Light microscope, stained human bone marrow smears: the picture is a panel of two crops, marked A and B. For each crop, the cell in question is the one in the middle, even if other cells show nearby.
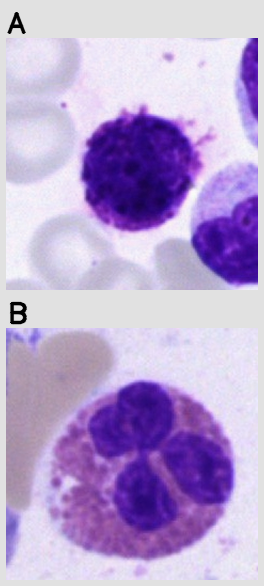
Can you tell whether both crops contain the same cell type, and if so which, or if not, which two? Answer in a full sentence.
No, cell A is a basophil, and cell B is an eosinophil.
